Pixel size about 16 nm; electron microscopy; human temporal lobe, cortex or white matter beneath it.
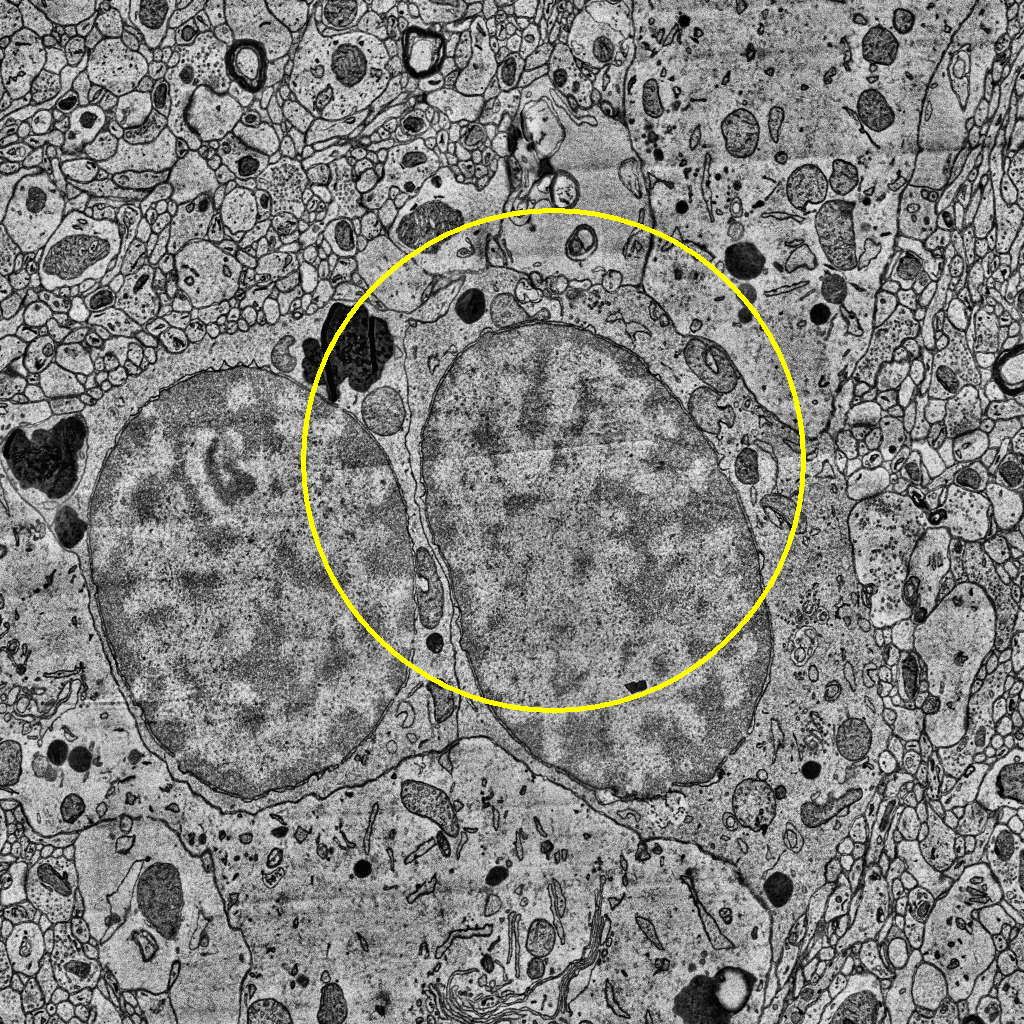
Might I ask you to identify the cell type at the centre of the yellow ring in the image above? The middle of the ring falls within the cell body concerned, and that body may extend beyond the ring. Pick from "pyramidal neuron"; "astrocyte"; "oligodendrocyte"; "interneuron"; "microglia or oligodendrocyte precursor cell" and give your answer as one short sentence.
The centre of the ring falls on an oligodendrocyte.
